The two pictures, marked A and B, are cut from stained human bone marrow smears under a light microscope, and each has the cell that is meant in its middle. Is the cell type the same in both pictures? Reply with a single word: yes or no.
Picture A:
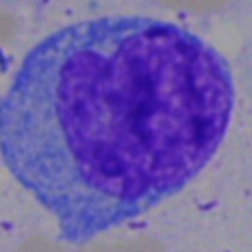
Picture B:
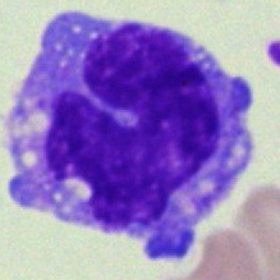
yes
